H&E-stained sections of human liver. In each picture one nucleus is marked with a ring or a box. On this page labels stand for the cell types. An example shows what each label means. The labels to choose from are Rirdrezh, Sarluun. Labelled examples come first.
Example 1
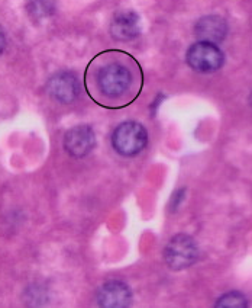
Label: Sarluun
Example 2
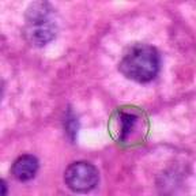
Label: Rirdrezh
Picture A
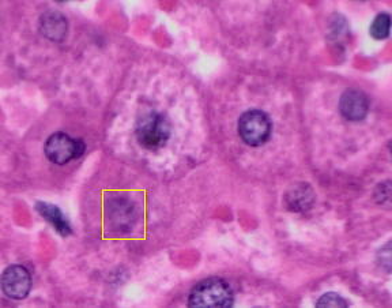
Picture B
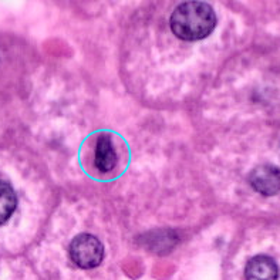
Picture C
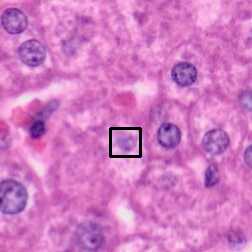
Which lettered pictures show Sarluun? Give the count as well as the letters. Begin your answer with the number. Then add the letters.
Count: 2 (A, C)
